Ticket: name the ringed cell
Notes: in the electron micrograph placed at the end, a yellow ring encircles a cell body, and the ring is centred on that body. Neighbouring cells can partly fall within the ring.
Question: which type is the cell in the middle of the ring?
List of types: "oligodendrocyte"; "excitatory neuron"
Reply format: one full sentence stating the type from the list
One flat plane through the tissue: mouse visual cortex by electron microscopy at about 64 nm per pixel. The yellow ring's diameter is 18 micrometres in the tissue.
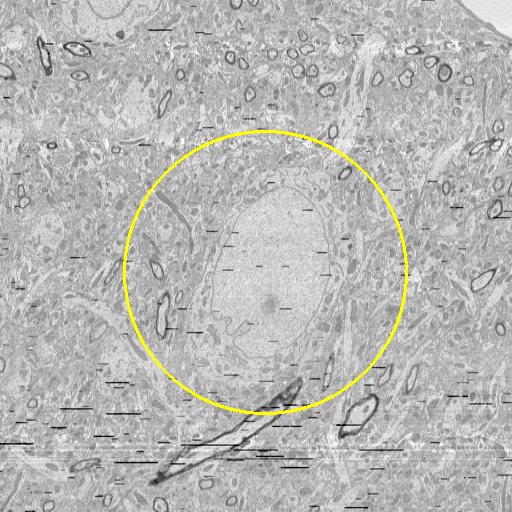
The cell sitting at the centre of the yellow ring is an excitatory neuron.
